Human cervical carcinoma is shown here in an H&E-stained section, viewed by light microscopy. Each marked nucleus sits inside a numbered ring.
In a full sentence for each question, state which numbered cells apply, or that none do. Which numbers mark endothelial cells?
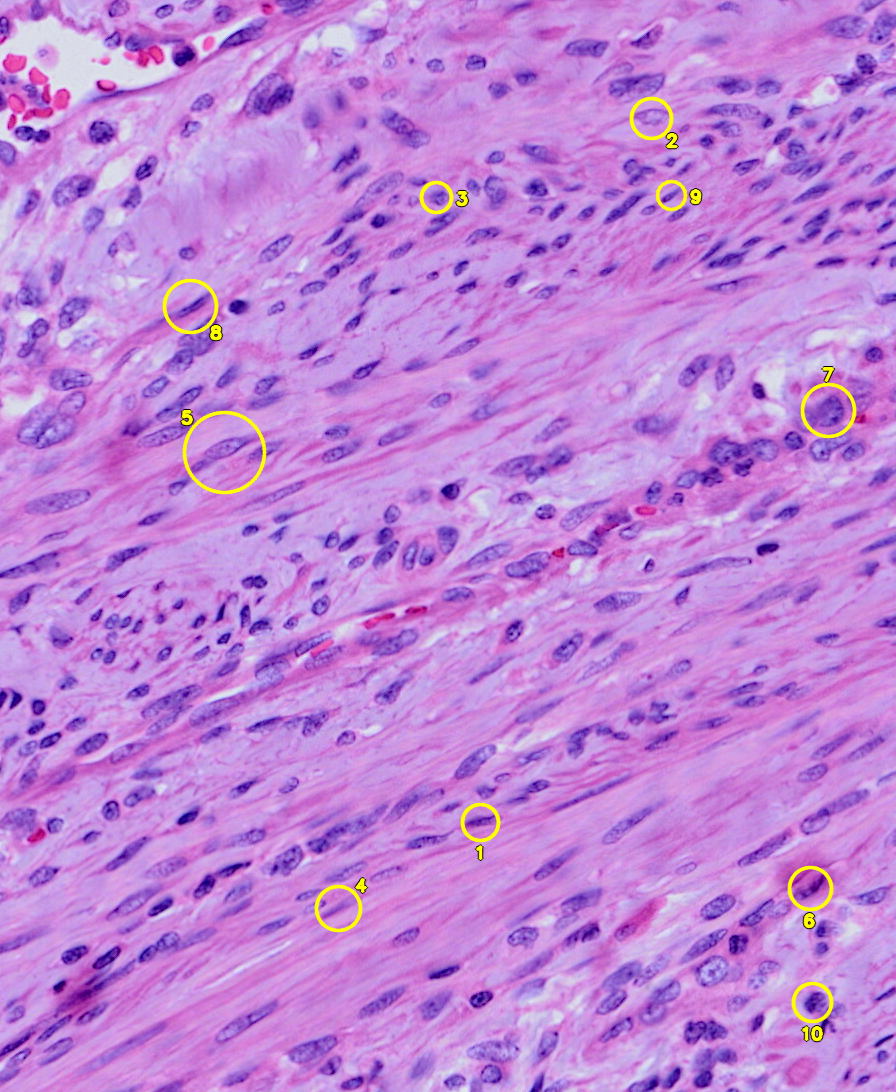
The cells marked by the numbers 6, 7 and 8 are endothelial cells.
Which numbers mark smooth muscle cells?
The cells marked with the numbers 1, 2, 3, 4, 5 and 9 are smooth muscle cells.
